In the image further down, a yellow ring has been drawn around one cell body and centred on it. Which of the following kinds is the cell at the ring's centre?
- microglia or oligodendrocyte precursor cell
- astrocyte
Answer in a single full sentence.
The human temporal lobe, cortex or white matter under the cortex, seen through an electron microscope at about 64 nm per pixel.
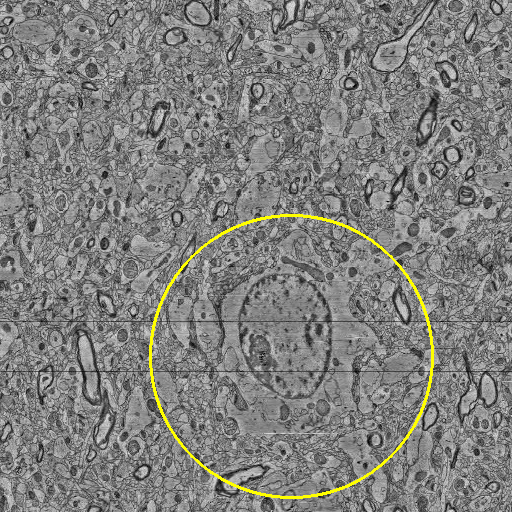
In the picture, the cell sitting at the centre of the yellow ring is an astrocyte.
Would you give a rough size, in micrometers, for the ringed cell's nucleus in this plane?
In this plane the nucleus is about 8 micrometres by 6.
